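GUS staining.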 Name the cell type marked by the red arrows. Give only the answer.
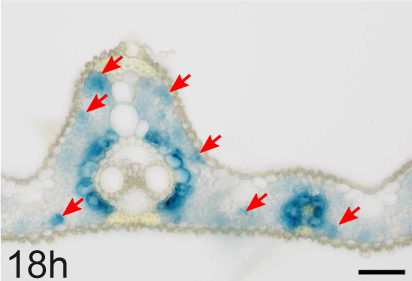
mesophyll cells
